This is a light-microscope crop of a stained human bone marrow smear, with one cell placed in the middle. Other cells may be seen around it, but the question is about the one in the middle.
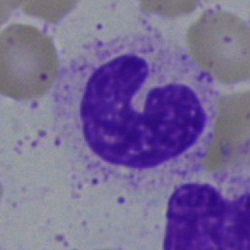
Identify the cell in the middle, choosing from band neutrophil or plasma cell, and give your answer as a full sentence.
In this crop, the cell at the very middle is a band neutrophil.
